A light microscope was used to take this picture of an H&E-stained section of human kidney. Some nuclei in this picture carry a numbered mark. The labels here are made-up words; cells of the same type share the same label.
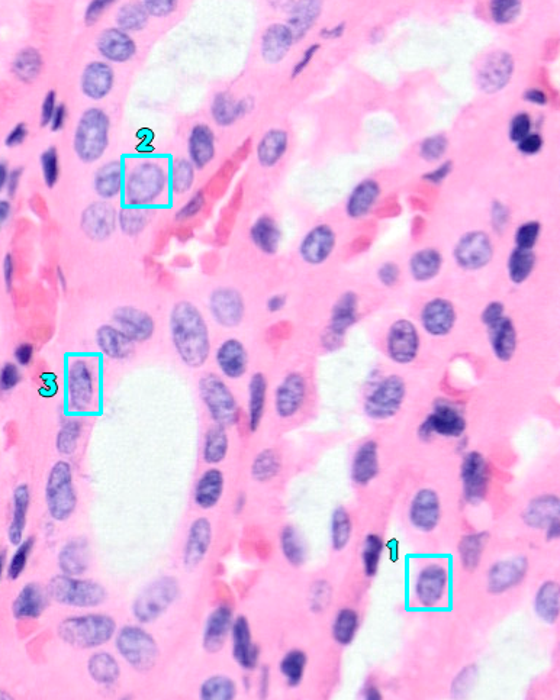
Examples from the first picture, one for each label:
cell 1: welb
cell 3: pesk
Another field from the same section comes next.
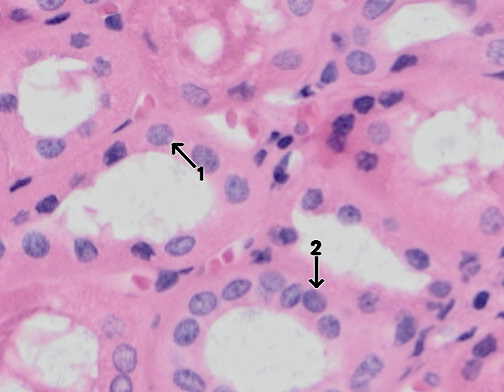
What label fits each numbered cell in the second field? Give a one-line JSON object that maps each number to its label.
{"1": "welb", "2": "pesk"}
